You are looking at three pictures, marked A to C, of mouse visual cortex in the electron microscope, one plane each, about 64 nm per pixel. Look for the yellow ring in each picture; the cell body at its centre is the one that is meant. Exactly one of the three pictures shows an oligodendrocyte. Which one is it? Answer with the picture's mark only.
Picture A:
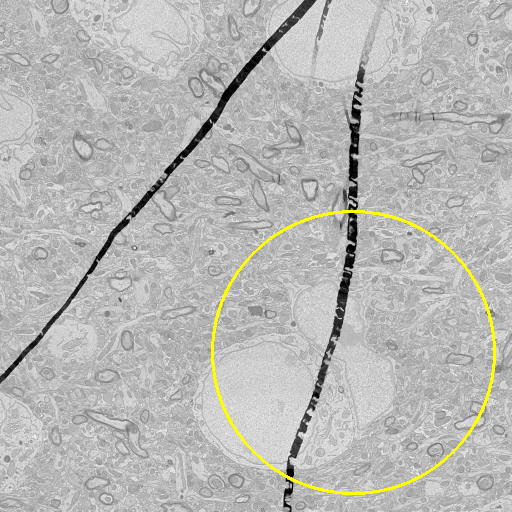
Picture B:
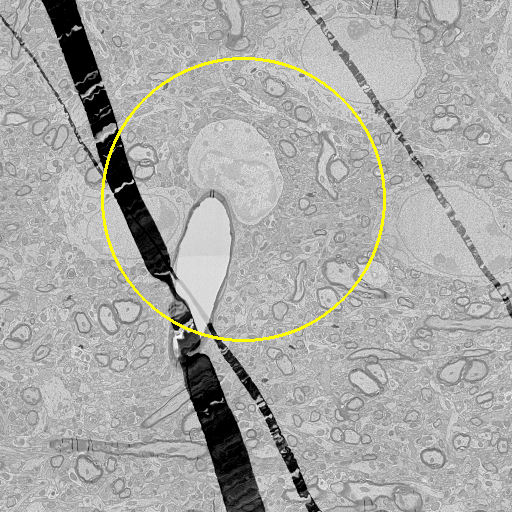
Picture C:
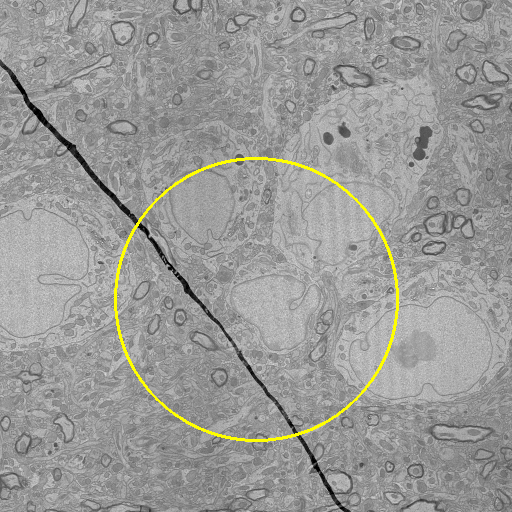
B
